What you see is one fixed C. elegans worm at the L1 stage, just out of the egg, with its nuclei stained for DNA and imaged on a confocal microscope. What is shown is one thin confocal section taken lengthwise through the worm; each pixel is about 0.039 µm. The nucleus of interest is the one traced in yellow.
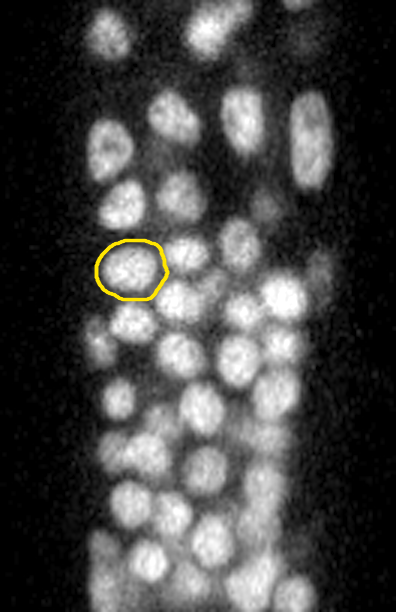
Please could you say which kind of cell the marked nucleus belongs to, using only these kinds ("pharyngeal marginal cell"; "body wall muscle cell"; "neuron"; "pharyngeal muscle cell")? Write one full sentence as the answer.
The cell with the marked nucleus is a neuron.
